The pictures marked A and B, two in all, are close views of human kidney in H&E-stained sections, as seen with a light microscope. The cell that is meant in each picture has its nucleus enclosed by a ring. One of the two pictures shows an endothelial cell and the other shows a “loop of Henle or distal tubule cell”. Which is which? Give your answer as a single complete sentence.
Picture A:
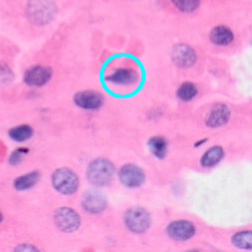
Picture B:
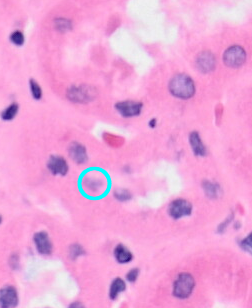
Picture B shows a “loop of Henle or distal tubule cell”, while picture A shows an endothelial cell.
